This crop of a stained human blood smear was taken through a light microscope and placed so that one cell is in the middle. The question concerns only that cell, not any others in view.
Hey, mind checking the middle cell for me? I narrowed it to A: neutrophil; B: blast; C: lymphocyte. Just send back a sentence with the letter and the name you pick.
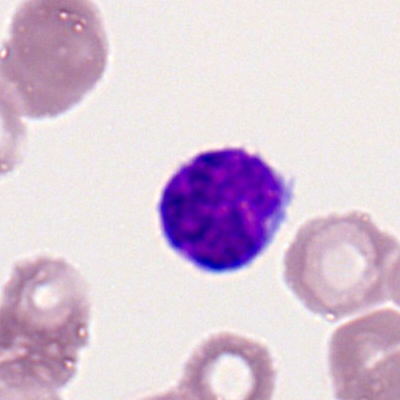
As the central cell is a lymphocyte, option C is correct.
